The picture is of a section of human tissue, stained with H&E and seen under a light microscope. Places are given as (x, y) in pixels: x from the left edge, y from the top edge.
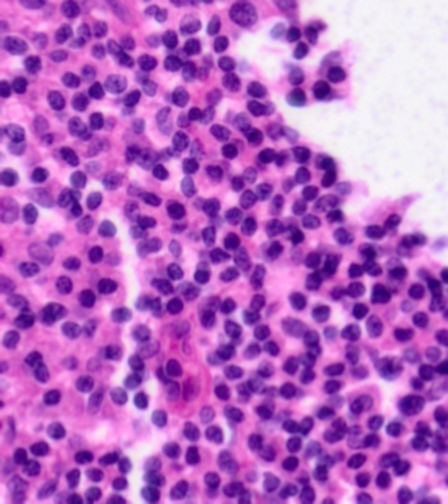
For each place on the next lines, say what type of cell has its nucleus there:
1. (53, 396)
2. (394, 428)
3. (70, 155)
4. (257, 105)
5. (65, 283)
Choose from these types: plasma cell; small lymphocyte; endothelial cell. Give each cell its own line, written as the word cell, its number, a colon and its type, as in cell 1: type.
cell 1: plasma cell
cell 2: small lymphocyte
cell 3: plasma cell
cell 4: small lymphocyte
cell 5: plasma cell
